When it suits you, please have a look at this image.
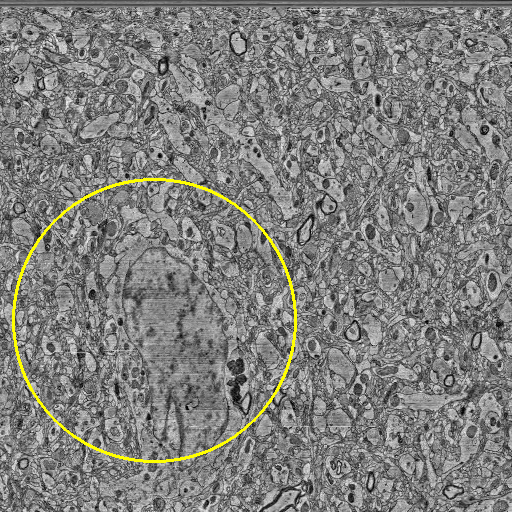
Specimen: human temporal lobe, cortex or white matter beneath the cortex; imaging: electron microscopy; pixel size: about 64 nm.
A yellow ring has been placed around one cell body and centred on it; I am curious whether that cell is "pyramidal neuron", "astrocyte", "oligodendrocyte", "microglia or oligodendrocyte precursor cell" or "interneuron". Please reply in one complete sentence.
The ringed cell, an interneuron, has its body at the centre of the yellow ring.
